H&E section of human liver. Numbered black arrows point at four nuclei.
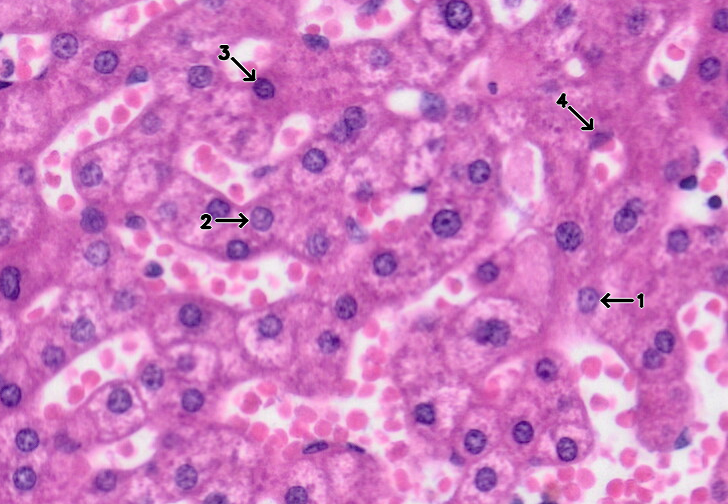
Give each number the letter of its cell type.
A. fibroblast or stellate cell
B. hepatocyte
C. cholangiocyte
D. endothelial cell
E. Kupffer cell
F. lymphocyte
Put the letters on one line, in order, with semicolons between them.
B; B; B; D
